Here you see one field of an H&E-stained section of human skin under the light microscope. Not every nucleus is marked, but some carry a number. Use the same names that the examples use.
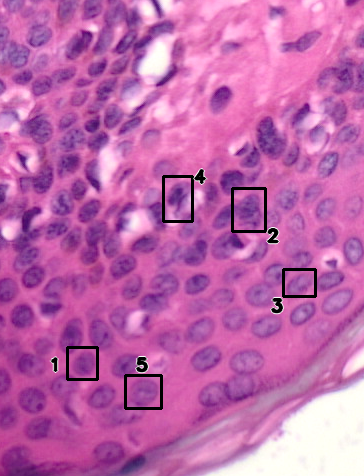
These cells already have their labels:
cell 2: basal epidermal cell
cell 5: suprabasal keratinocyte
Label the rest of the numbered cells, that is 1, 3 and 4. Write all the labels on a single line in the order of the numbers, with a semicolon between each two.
suprabasal keratinocyte; suprabasal keratinocyte; basal epidermal cell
